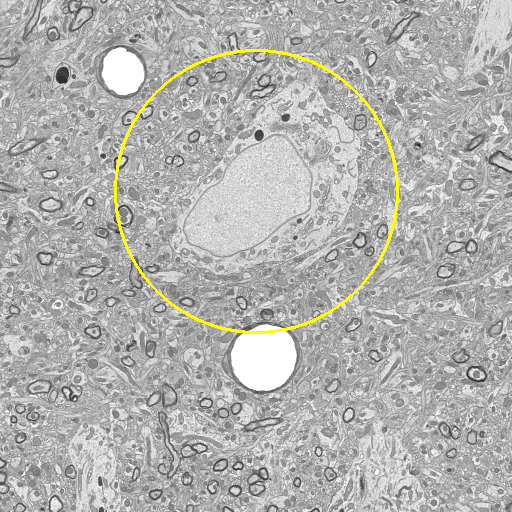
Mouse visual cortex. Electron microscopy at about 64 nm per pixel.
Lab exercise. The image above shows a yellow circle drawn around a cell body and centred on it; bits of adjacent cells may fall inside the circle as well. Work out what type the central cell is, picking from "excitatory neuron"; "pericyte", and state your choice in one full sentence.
In the image above, the cell at the centre of the yellow circle is an excitatory neuron.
